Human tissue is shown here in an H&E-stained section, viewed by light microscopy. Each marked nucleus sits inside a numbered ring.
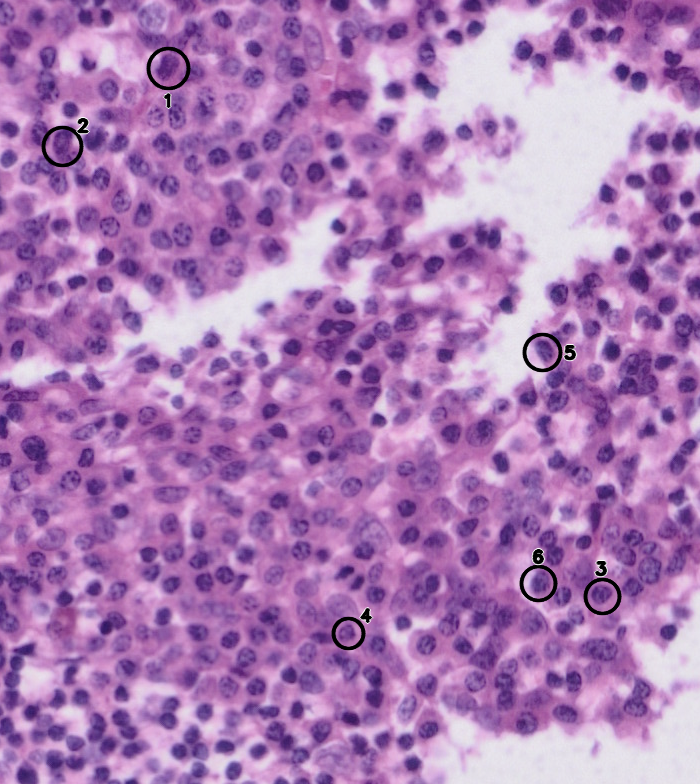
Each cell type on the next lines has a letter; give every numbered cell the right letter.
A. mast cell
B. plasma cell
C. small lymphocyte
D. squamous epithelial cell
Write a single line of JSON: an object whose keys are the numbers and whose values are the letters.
{"1": "D", "2": "D", "3": "B", "4": "B", "5": "B", "6": "B"}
